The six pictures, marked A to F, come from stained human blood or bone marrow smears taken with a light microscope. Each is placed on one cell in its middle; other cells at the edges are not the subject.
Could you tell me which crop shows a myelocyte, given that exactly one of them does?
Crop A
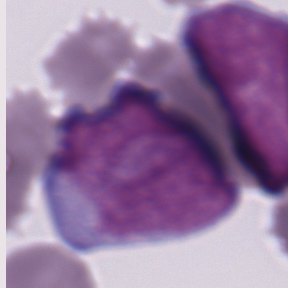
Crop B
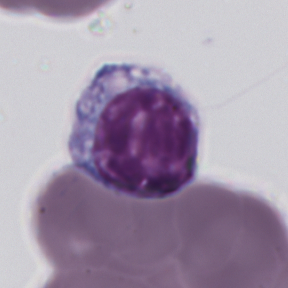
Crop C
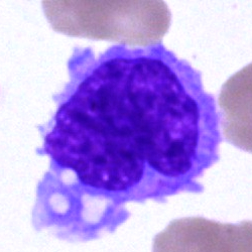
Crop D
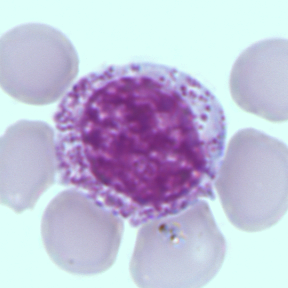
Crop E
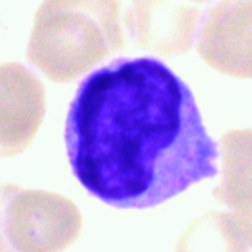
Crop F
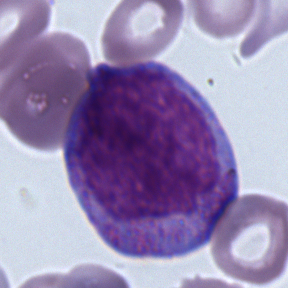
D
